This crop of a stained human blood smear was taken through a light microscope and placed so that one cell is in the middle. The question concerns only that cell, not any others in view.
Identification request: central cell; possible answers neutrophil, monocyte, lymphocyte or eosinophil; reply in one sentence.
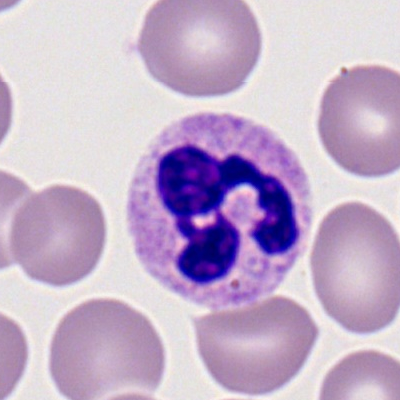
At the center of the crop sits a neutrophil.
